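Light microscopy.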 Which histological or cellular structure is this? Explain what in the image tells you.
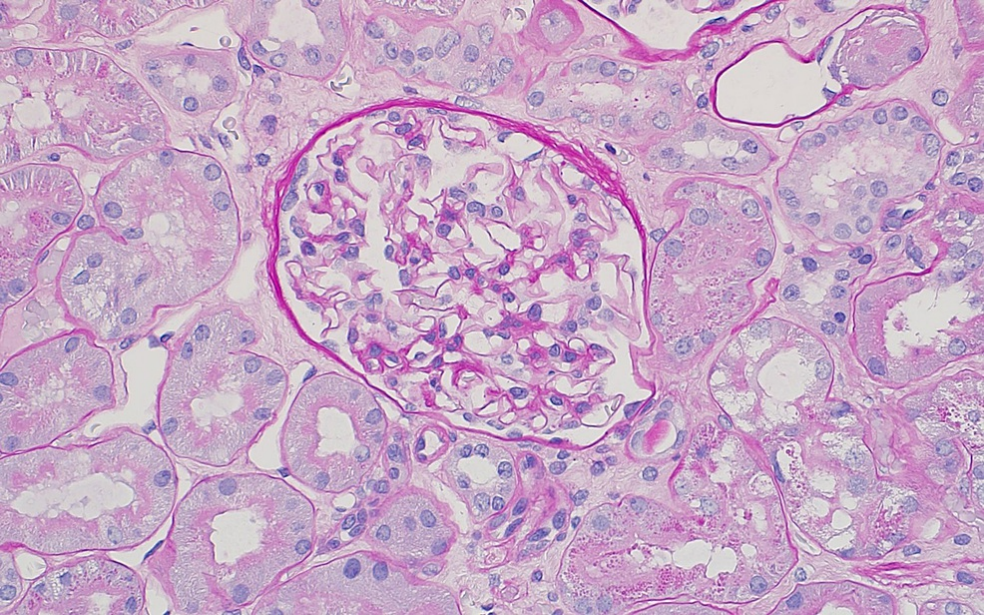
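Glomerulus. A round tuft of thin, looping capillary walls sits in the centre of the image. The tuft lies inside a space bounded by a sharp magenta capsule line. Cross-sections of tubules lined by cuboidal cells surround the tuft.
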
